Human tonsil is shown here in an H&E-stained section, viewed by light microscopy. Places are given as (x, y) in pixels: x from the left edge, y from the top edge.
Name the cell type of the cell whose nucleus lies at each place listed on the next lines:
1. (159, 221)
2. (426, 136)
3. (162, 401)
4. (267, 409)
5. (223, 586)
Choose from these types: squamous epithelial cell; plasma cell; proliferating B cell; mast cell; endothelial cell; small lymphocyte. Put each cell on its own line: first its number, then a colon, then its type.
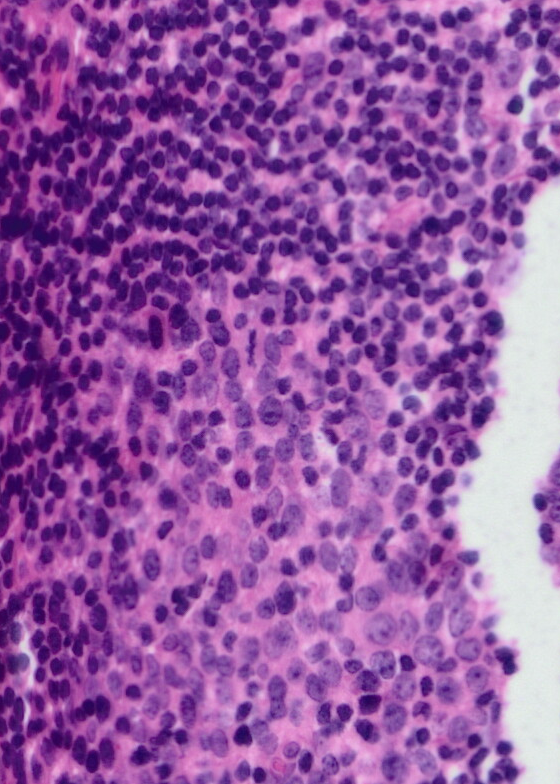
1: small lymphocyte
2: small lymphocyte
3: proliferating B cell
4: proliferating B cell
5: proliferating B cell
